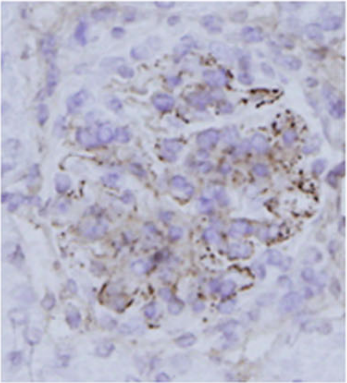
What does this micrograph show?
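A rounded glomerulus with a crowded tuft of blue-stained nuclei sits among surrounding tubules, separated from them by a narrow space. Fine brown granular deposits run along the loops of the tuft, especially around its edges, while the surrounding tubular epithelium stays pale.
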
